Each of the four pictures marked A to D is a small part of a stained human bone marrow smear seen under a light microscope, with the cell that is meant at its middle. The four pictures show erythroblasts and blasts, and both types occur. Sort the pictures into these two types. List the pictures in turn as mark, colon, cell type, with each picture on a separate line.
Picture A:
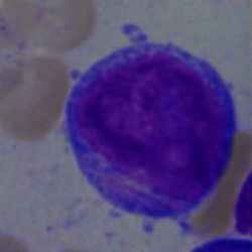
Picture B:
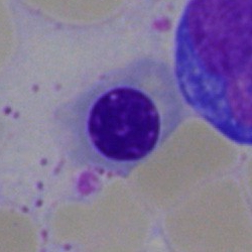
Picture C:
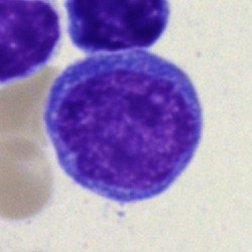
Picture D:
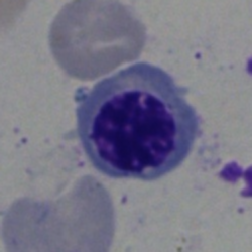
A: blast
B: erythroblast
C: blast
D: erythroblast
